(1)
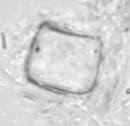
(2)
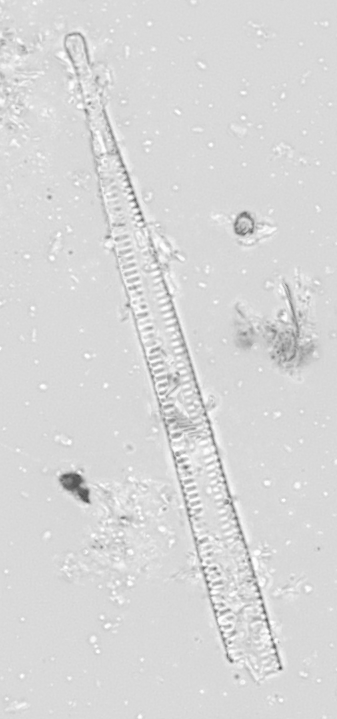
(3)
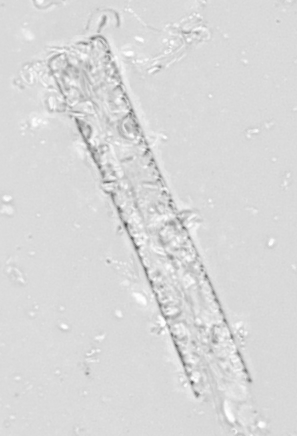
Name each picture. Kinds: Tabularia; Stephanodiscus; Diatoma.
(1) Stephanodiscus
(2) Tabularia
(3) Diatoma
